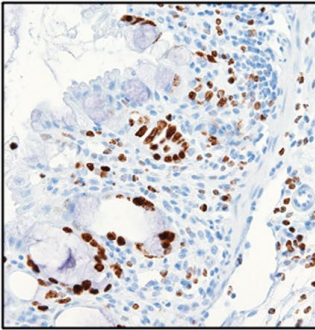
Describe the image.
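This is colonic mucosa in which the crypts are no longer regular, parallel glands but scattered, distorted and irregular in size. Only some crypts carry clusters of brown-stained nuclei in their epithelium, and several are dilated with pale mucus. The tissue between the crypts is crowded with many small blue nuclei, and brown nuclei also lie scattered in this tissue outside the crypts.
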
